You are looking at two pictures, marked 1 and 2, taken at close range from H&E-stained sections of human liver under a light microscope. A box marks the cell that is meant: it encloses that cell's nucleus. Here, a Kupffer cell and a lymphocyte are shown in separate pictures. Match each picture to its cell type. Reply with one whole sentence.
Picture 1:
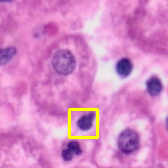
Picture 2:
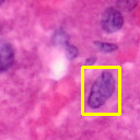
It is picture 1 that shows a lymphocyte, and picture 2 that shows a Kupffer cell.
